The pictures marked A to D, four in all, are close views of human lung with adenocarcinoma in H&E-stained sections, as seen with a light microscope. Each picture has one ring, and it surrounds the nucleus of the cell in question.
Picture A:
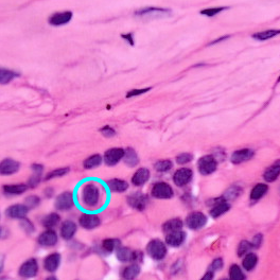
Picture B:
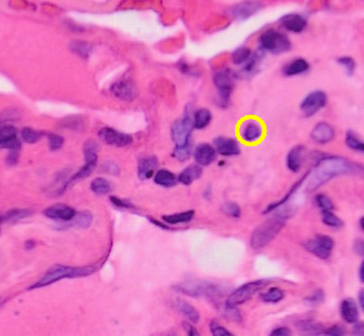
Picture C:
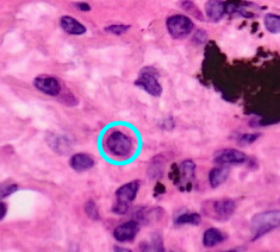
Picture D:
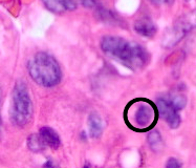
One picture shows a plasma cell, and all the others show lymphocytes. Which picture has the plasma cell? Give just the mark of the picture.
C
